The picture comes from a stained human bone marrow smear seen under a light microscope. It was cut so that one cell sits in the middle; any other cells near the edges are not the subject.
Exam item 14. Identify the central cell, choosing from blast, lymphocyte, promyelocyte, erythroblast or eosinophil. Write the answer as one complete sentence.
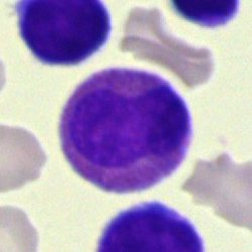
Here the cell in the middle is an eosinophil.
